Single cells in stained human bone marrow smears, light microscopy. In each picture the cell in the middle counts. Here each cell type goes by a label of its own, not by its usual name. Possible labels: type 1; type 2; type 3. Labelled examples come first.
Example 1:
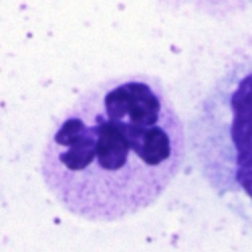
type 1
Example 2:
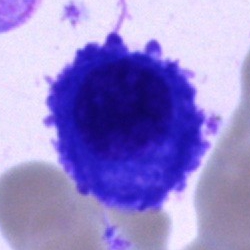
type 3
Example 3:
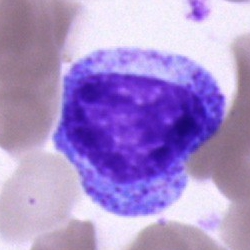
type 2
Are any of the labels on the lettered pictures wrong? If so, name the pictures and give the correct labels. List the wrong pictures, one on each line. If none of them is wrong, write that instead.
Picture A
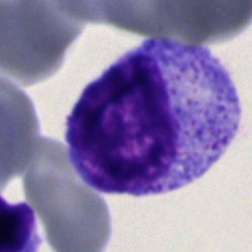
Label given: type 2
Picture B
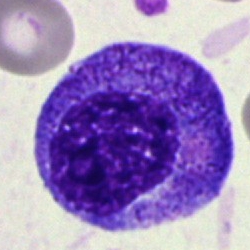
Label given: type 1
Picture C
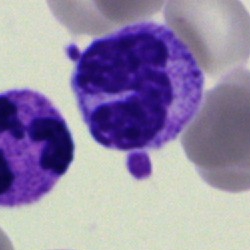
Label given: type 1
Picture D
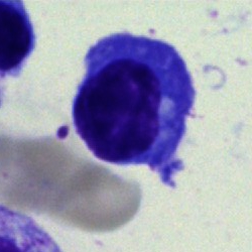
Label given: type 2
B: not type 1 but type 2
D: not type 2 but type 3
